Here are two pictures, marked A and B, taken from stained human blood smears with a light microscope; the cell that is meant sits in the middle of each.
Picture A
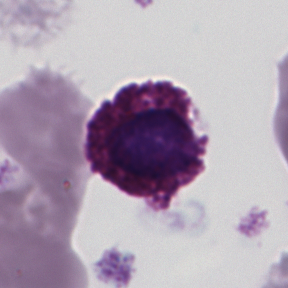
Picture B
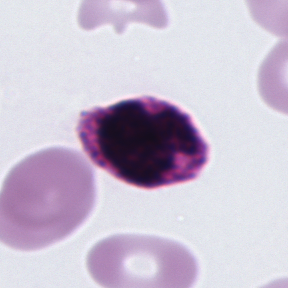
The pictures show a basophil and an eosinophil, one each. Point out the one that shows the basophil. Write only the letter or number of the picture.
B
